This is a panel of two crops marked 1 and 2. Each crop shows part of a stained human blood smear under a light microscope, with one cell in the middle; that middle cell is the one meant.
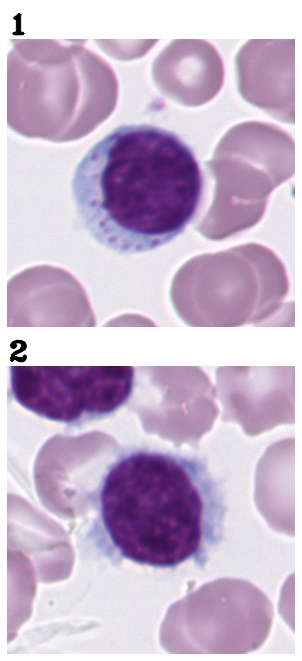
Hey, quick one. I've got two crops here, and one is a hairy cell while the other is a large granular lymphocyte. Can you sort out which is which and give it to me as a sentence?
Crop 1 is a large granular lymphocyte, whereas a hairy cell is found in crop 2.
